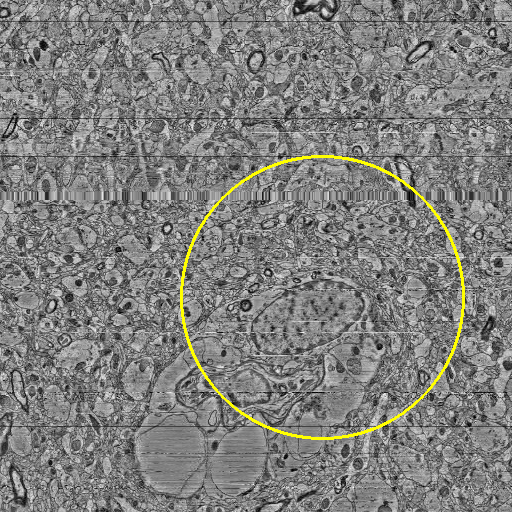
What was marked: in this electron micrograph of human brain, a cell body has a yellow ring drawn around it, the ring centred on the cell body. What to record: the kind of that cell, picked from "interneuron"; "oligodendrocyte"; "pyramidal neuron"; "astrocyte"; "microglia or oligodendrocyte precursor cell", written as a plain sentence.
The centred cell is a microglial cell or oligodendrocyte precursor cell.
